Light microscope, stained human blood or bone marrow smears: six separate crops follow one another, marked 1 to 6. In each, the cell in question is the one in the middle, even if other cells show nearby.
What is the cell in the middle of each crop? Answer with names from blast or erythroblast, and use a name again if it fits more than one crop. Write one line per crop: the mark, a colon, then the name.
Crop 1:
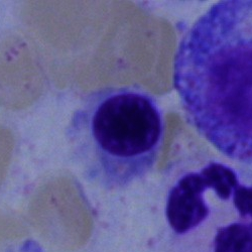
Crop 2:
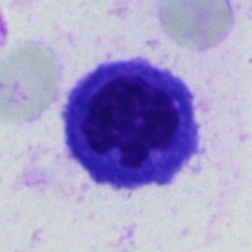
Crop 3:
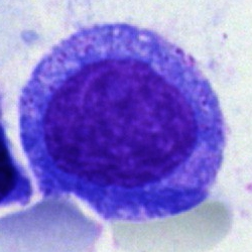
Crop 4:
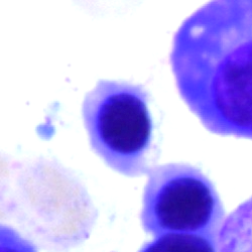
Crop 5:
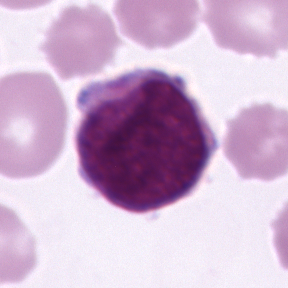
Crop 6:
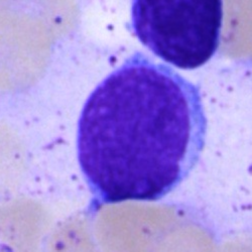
1: erythroblast
2: erythroblast
3: blast
4: erythroblast
5: blast
6: blast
